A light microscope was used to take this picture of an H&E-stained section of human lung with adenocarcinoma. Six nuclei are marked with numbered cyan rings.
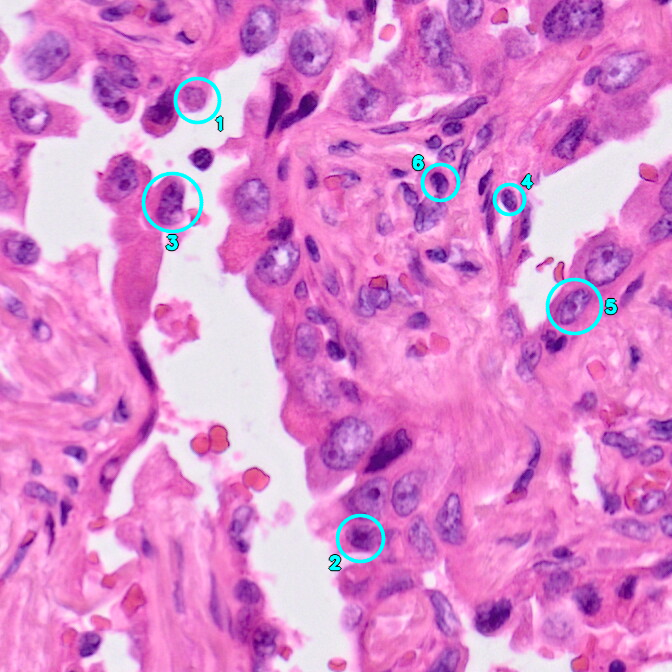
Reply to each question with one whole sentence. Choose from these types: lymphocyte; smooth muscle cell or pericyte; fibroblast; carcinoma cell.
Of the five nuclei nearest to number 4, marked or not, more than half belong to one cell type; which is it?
Most of the five nuclei nearest to number 4 are those of fibroblasts.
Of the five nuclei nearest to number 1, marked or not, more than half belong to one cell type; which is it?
Around number 1, most of the five nearest nuclei are those of carcinoma cells.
